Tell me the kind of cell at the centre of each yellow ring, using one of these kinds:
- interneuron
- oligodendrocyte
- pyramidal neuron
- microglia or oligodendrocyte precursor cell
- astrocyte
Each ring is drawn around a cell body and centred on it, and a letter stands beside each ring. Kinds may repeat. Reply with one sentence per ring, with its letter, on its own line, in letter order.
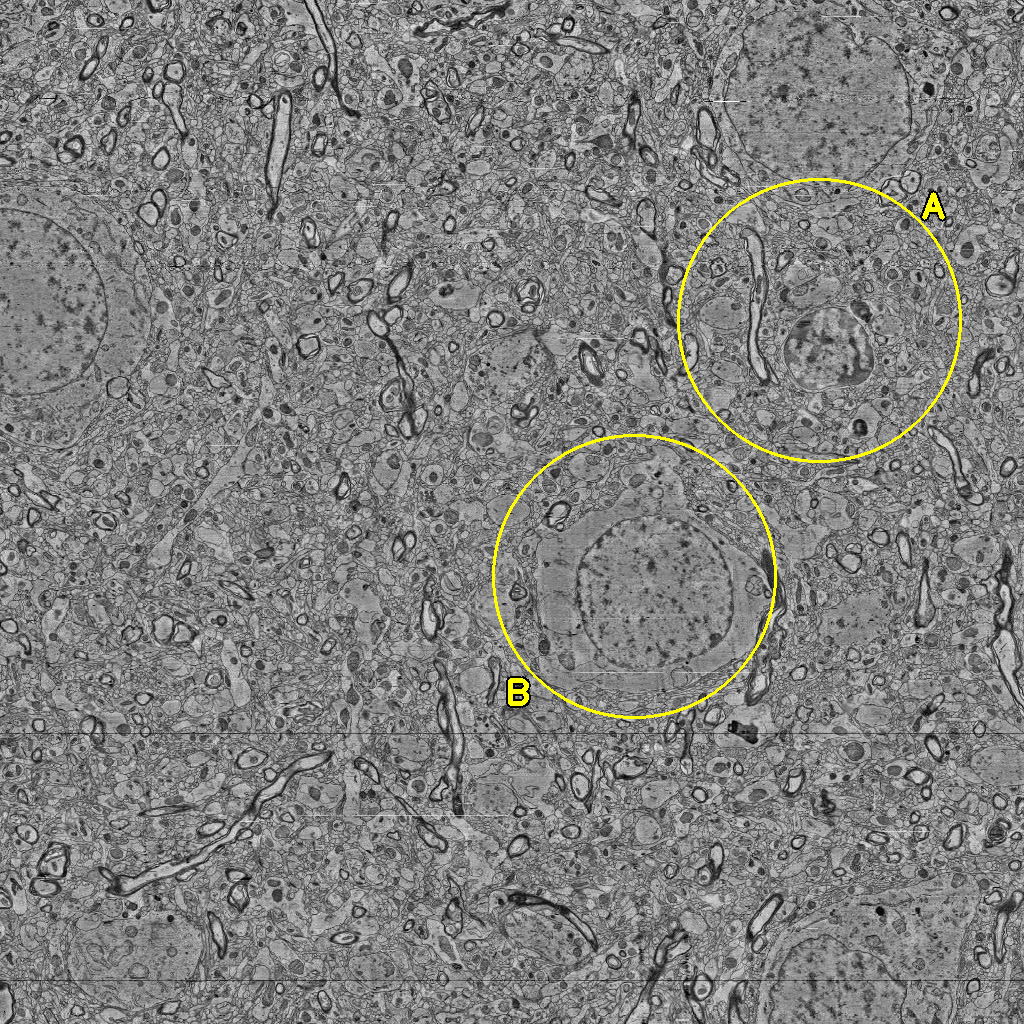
The ring labelled A is centred on a microglial cell or oligodendrocyte precursor cell.
The ring labelled B is centred on an astrocyte.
